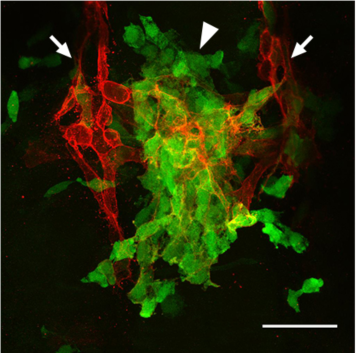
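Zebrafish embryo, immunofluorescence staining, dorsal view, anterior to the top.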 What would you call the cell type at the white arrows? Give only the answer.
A: Vascular endothelial cells.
